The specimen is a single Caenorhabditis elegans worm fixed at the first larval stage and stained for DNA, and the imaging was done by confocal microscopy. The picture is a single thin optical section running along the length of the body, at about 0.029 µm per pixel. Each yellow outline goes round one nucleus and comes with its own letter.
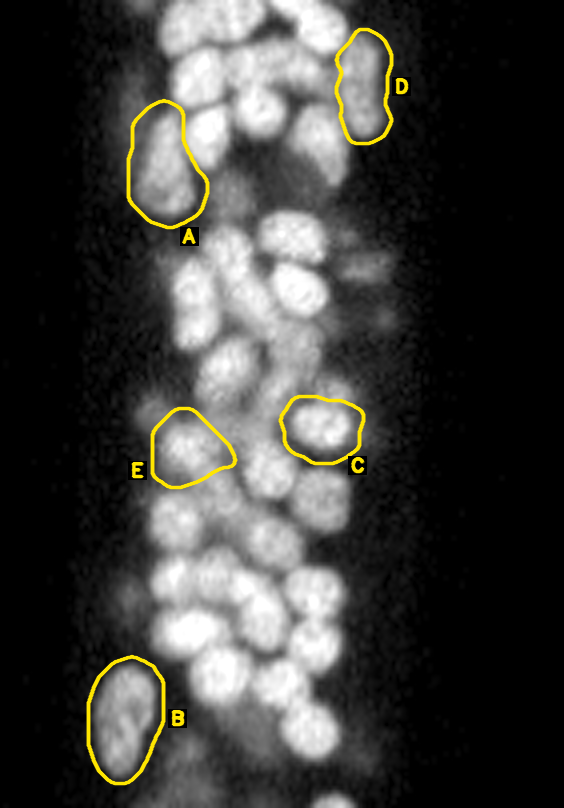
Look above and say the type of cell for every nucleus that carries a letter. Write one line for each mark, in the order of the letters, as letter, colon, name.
A: body wall muscle cell
B: body wall muscle cell
C: neuron
D: body wall muscle cell
E: neuron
